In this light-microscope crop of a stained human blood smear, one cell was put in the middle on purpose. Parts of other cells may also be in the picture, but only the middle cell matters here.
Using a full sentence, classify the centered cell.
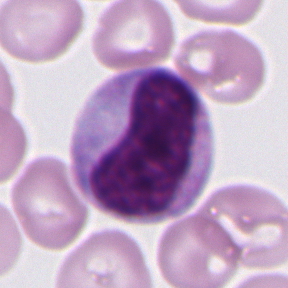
The middle of this crop is occupied by a metamyelocyte.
